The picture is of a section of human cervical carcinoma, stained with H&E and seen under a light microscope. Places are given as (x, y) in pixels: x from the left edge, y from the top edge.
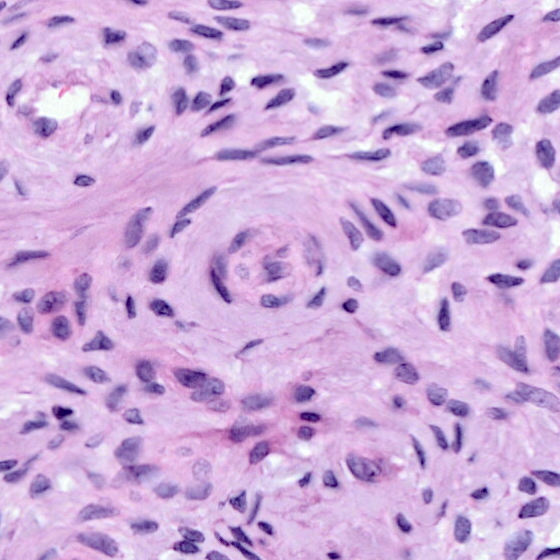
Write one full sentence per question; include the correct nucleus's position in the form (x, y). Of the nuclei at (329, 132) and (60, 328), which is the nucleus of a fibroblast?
The nucleus that sits at (329, 132) is the nucleus of a fibroblast.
